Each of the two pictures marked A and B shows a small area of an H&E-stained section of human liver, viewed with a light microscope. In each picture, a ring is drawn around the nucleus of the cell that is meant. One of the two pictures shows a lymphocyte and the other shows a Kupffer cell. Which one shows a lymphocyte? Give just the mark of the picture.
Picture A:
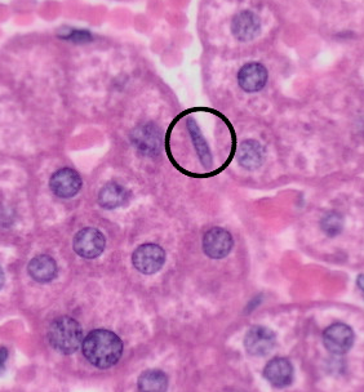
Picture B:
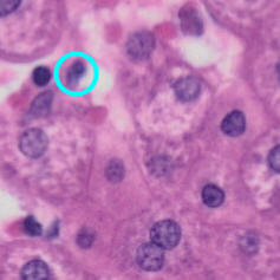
B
